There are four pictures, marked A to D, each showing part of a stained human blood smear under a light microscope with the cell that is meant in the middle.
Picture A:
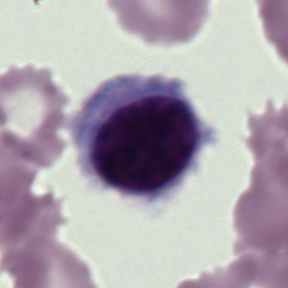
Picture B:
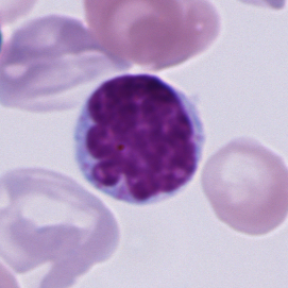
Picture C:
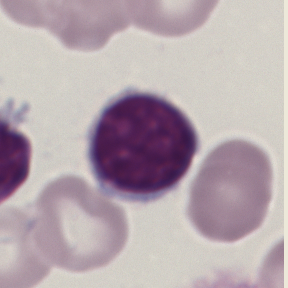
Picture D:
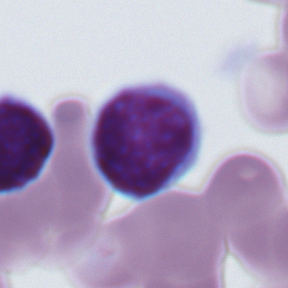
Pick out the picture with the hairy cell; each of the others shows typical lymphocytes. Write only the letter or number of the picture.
A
